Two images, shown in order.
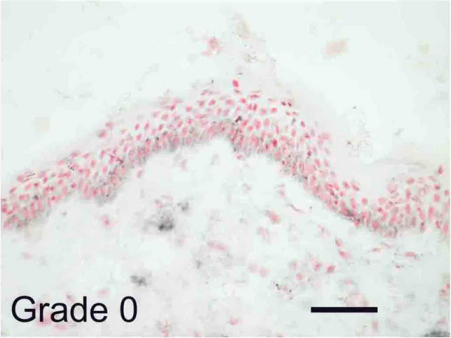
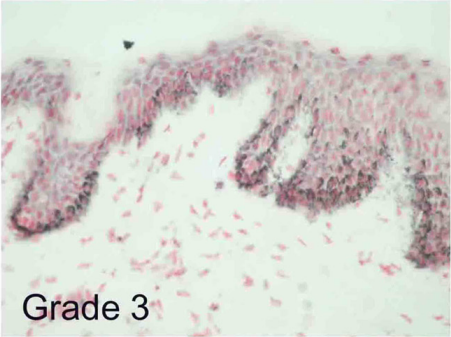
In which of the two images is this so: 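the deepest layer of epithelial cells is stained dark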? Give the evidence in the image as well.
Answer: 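Second image: a dense dark grey-black band runs along the base of the epithelium and its ridges. First image: the epithelium shows only red nuclei on a pale background, without a dark band at its base.
The second image.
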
